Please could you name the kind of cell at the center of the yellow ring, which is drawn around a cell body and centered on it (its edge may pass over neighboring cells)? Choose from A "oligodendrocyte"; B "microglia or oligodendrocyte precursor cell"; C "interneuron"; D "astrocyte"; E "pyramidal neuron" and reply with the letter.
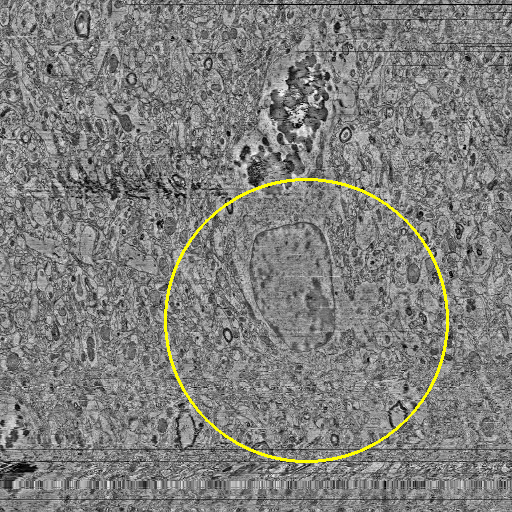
D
